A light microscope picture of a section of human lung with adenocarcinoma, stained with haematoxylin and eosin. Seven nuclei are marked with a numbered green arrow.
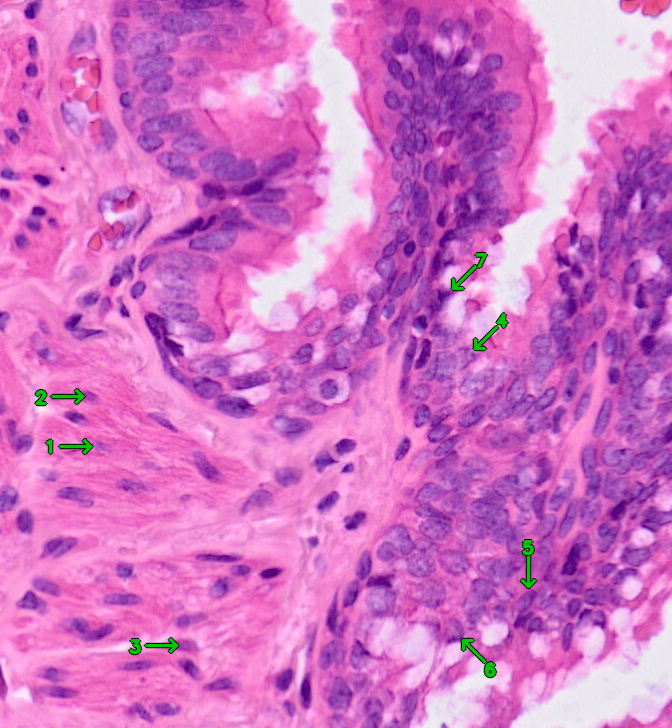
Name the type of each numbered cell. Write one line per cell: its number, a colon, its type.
1: smooth muscle cell or pericyte
2: smooth muscle cell or pericyte
3: smooth muscle cell or pericyte
4: ciliated epithelial cell
5: ciliated epithelial cell
6: ciliated epithelial cell
7: ciliated epithelial cell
